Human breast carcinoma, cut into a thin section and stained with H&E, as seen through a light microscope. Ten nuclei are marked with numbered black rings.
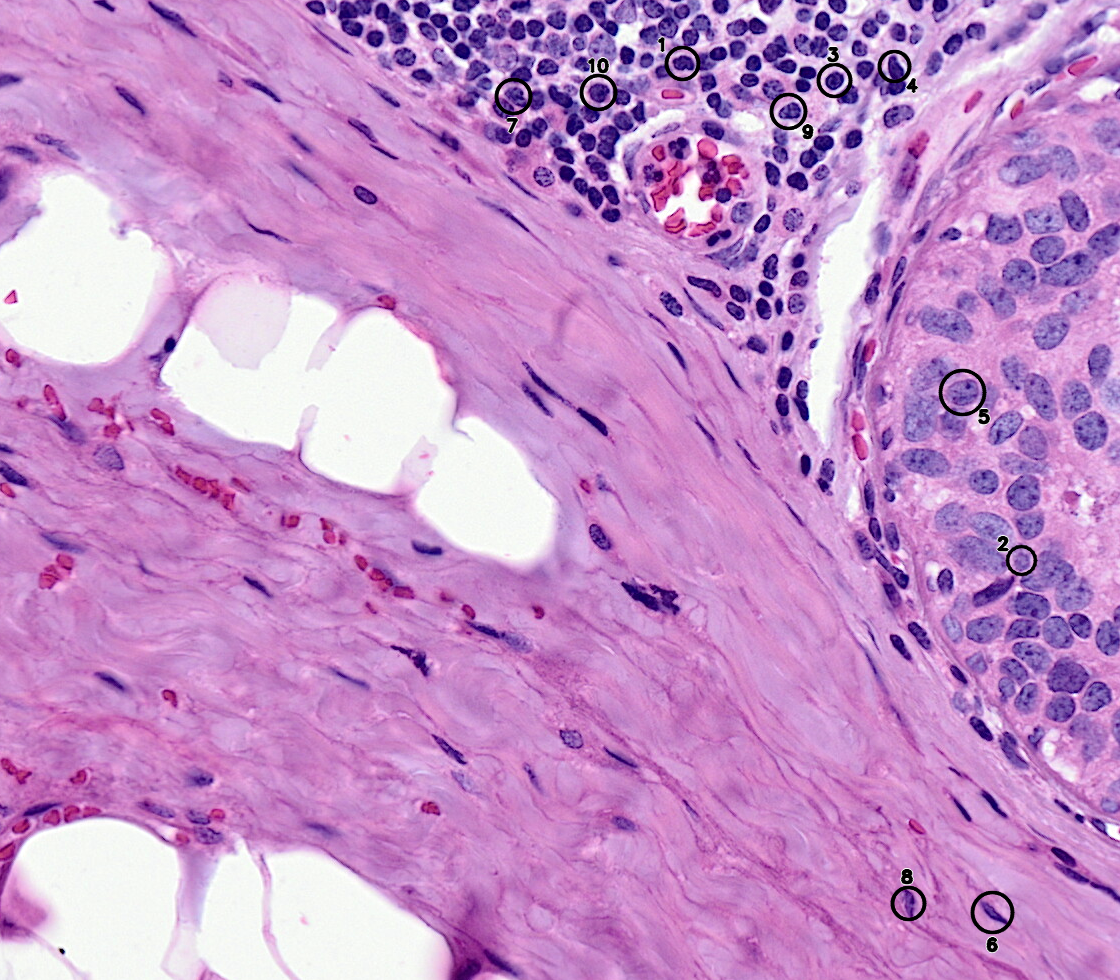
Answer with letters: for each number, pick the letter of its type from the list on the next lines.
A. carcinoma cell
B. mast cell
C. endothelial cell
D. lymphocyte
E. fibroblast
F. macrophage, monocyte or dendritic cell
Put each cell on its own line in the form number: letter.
1: D
2: A
3: D
4: D
5: A
6: E
7: D
8: E
9: D
10: D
